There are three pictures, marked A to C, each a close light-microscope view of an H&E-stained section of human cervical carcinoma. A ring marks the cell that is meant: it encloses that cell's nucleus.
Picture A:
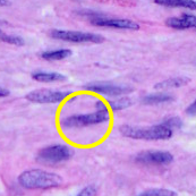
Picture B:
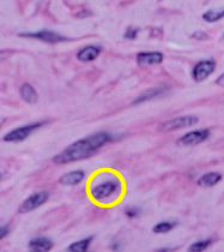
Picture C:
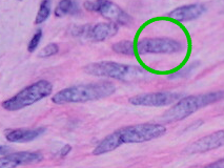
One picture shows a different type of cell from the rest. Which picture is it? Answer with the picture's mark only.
A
